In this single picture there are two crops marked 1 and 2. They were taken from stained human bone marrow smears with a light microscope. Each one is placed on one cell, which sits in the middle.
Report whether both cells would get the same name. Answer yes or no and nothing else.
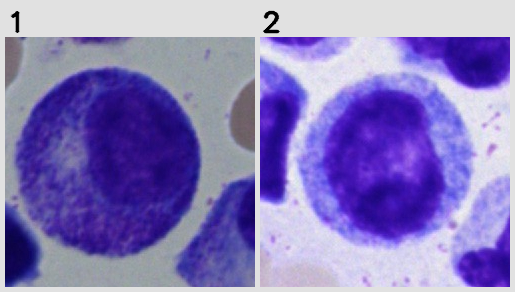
yes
